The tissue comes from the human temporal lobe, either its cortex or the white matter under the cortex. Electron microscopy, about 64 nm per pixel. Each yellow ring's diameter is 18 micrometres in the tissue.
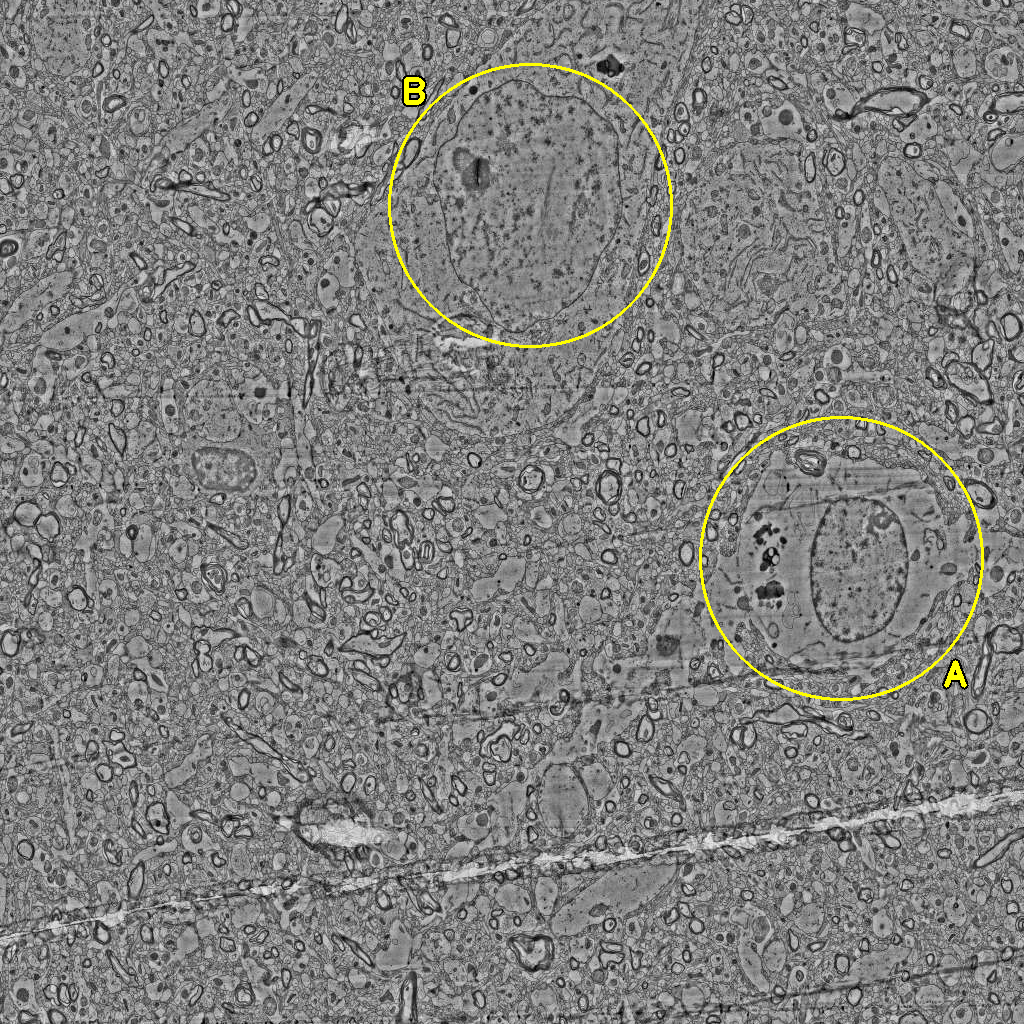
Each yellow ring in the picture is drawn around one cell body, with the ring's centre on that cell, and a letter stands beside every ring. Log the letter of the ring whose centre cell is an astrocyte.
A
